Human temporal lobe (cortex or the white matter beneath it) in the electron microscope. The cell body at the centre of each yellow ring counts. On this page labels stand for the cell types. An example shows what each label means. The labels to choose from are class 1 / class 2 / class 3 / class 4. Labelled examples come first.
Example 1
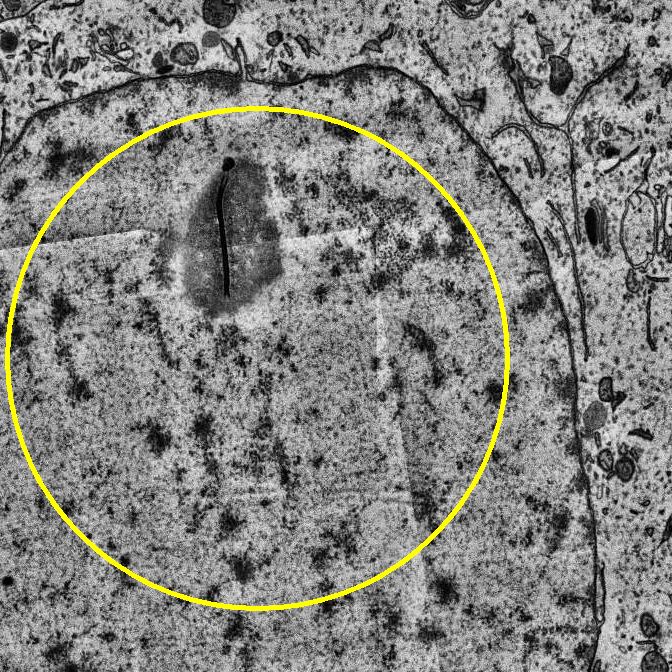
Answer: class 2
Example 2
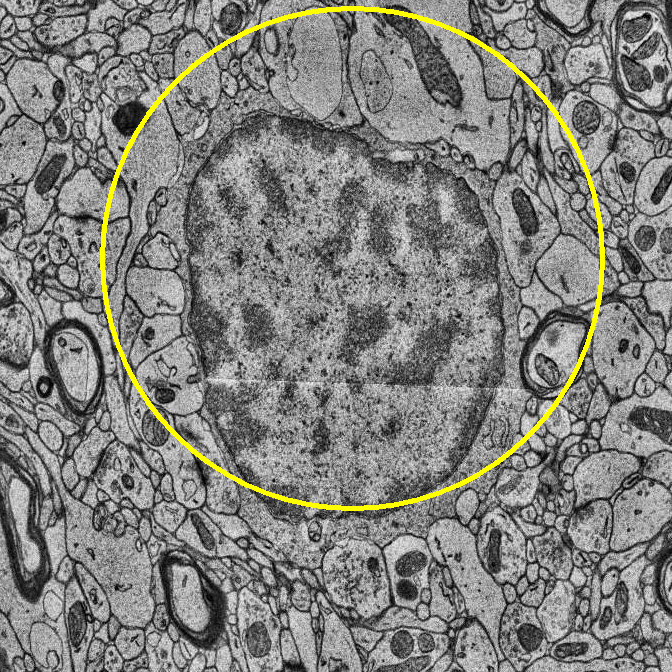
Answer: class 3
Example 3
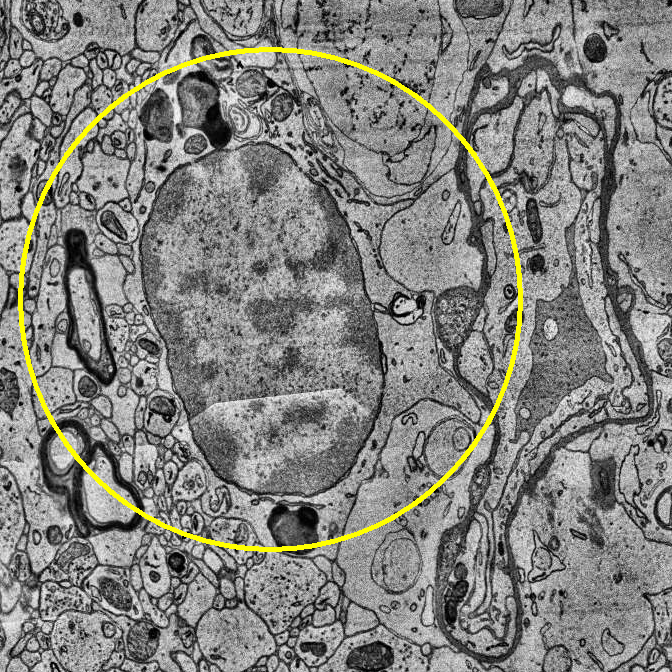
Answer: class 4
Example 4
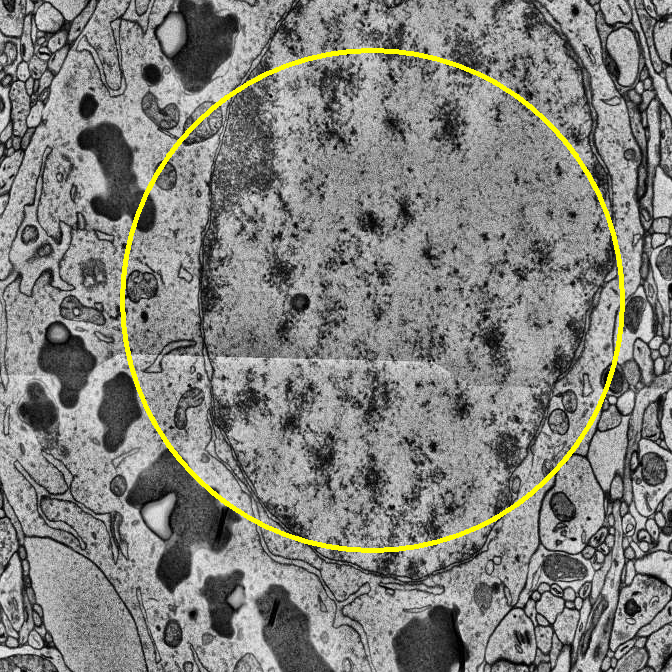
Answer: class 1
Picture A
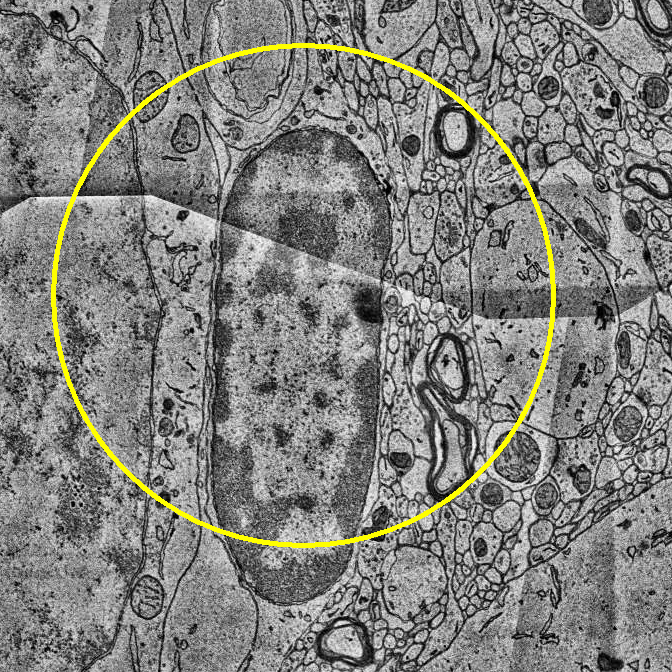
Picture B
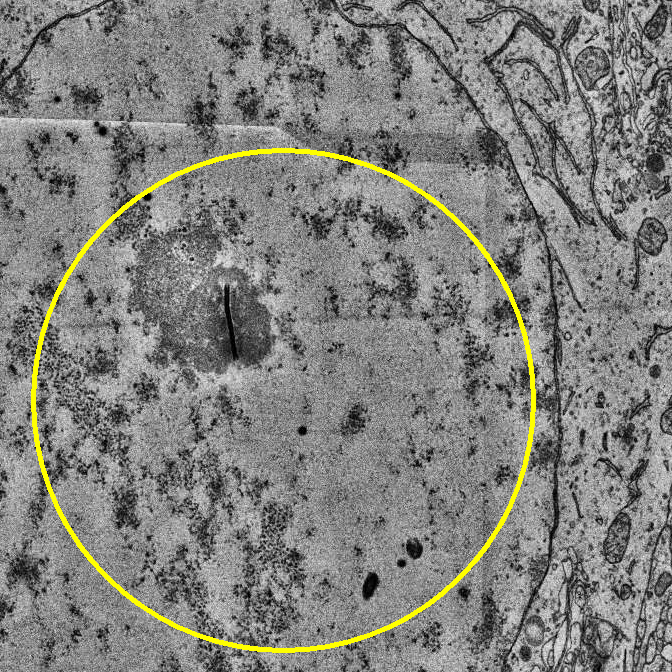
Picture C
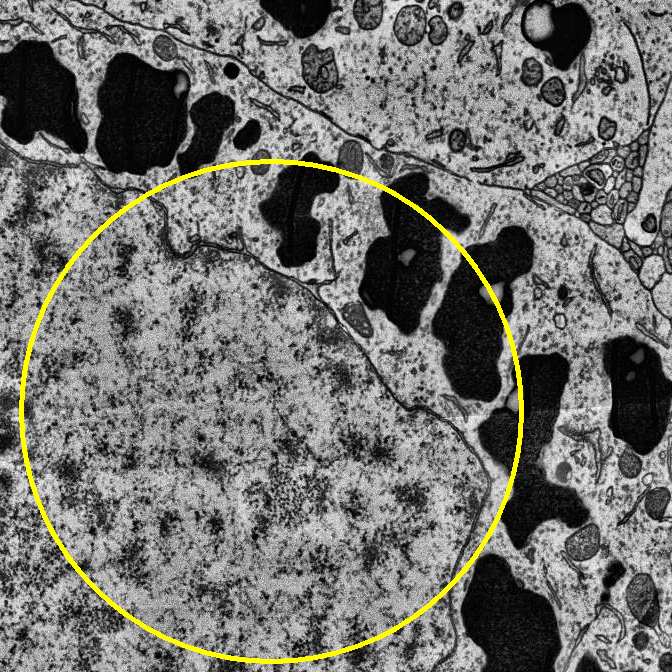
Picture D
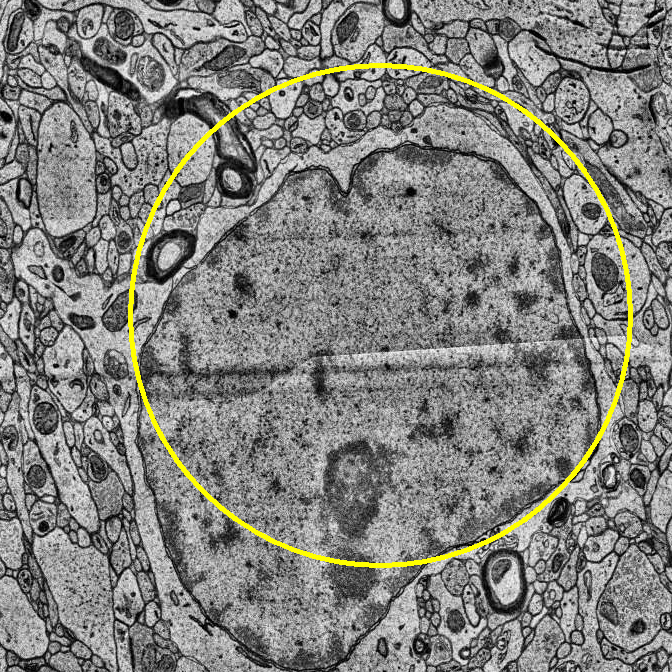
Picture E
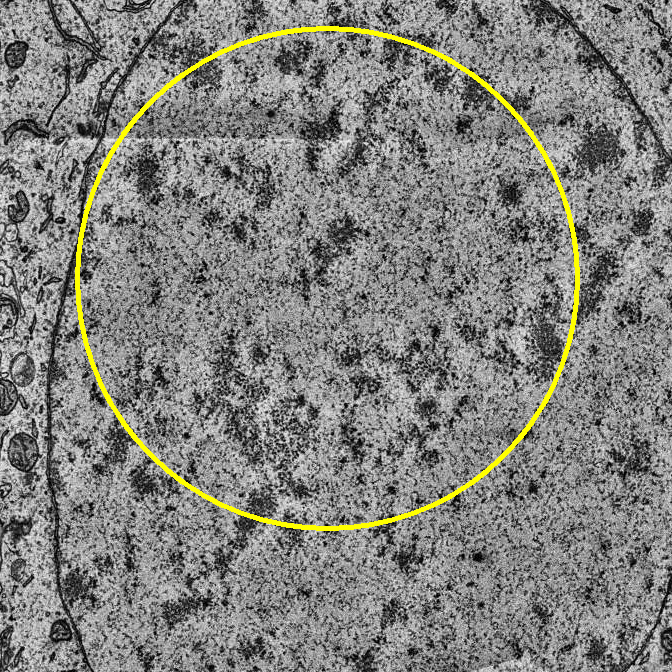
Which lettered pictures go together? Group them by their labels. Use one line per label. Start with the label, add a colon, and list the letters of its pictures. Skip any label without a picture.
class 1: C
class 2: B, E
class 4: A, D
